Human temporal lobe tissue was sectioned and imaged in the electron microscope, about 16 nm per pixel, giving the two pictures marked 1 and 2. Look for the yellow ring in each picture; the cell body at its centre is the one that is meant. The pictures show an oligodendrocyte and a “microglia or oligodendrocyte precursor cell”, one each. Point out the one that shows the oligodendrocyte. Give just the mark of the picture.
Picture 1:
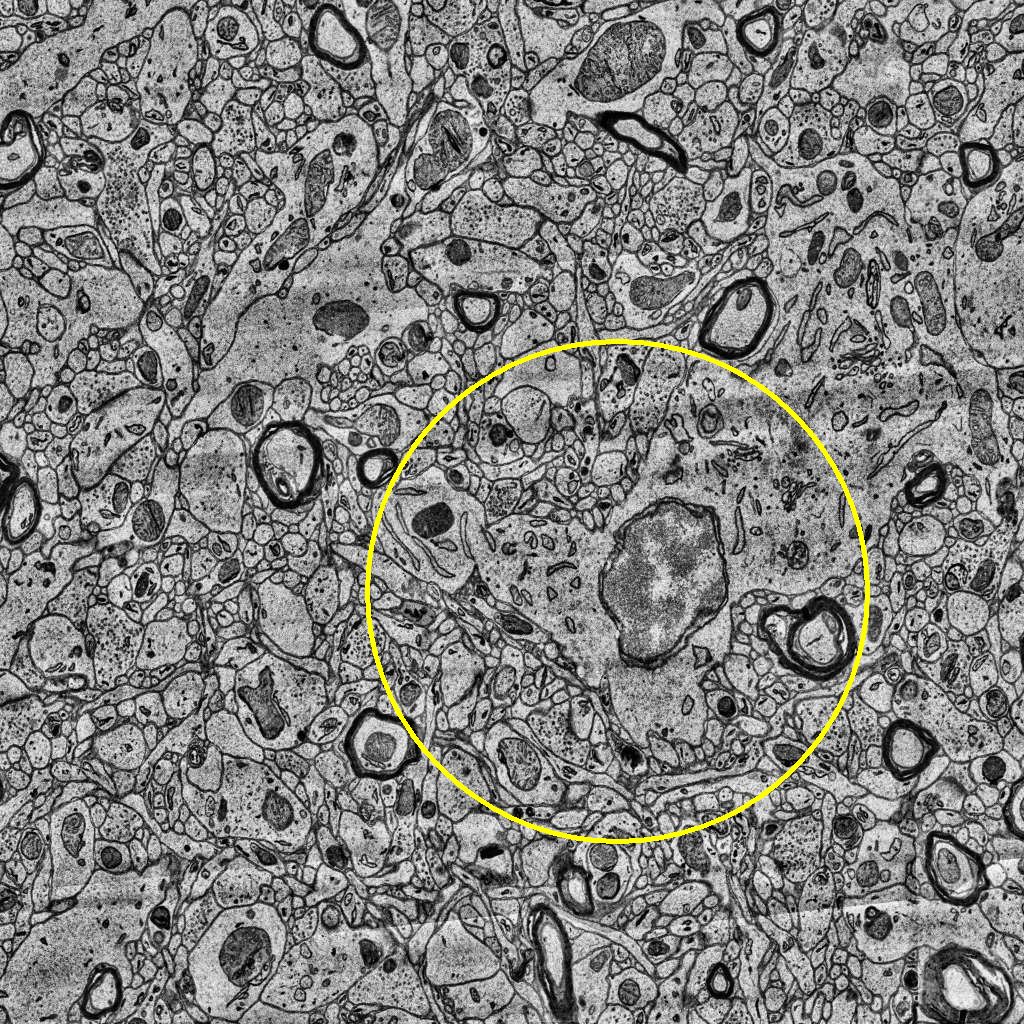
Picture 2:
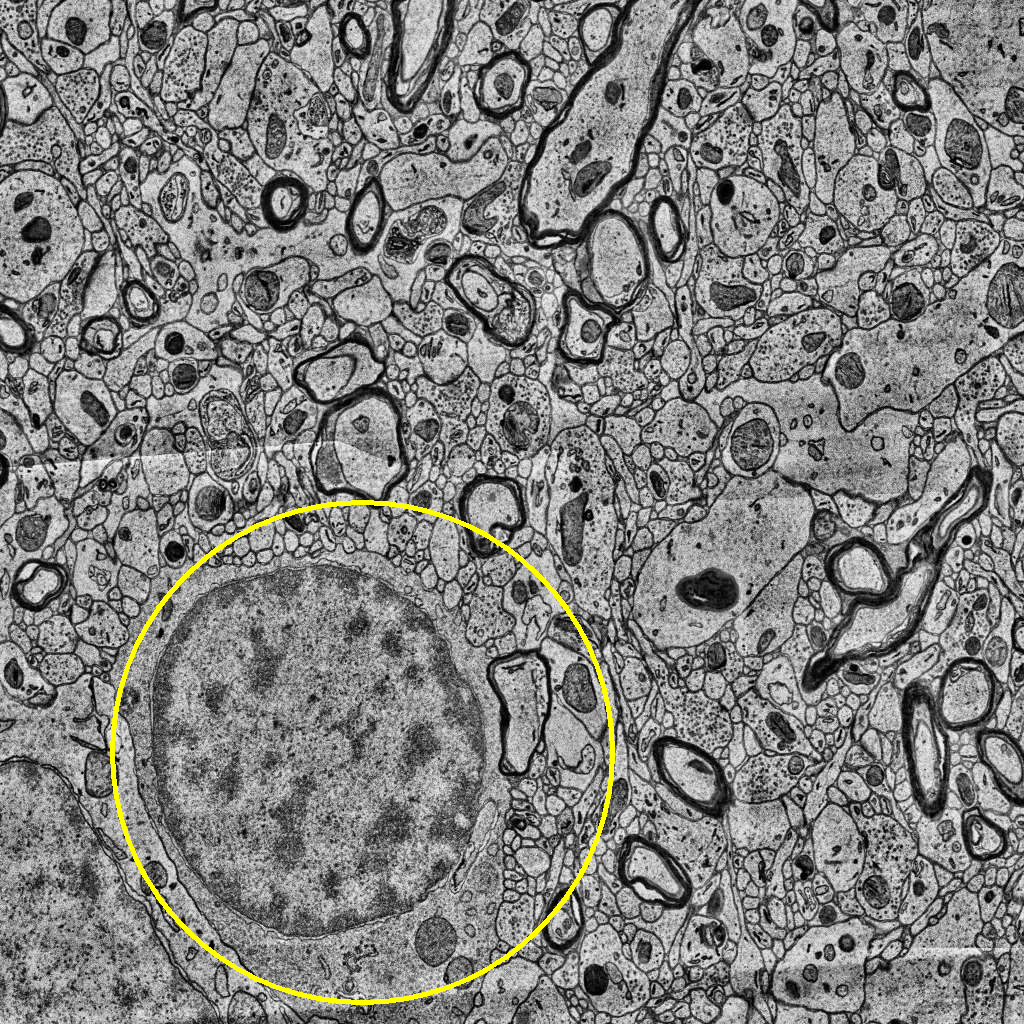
2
